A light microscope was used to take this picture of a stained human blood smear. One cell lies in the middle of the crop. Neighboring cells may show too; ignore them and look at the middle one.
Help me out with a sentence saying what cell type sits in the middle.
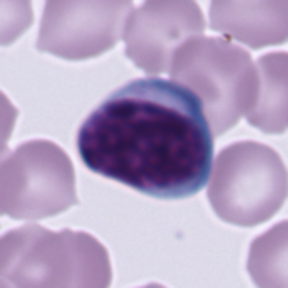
The central cell shown in this smear crop is a typical lymphocyte.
